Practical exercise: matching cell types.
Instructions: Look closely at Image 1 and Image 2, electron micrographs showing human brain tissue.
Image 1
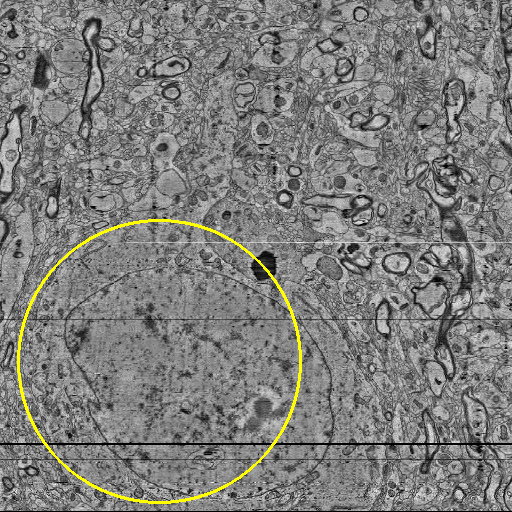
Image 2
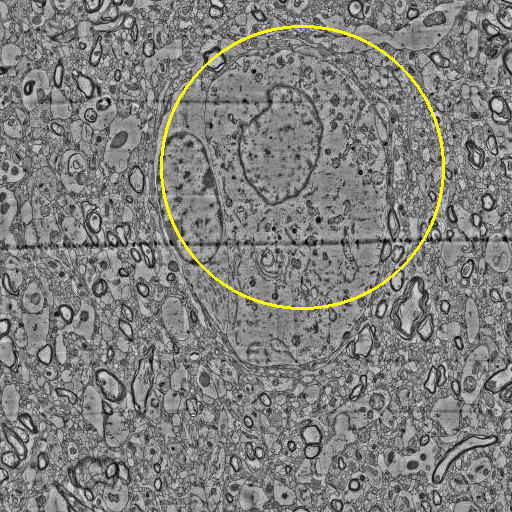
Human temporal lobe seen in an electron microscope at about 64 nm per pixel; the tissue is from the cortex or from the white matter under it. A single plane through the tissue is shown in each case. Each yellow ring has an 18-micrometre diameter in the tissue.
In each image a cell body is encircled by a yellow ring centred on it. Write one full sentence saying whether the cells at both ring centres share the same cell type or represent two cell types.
Across Image 1 and Image 2, the cells at the ring centres share the same cell type.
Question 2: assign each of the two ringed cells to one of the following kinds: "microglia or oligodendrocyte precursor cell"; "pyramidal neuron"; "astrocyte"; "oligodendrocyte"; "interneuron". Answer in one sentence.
The cell in the first picture is a pyramidal neuron, and so is the one in the second.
